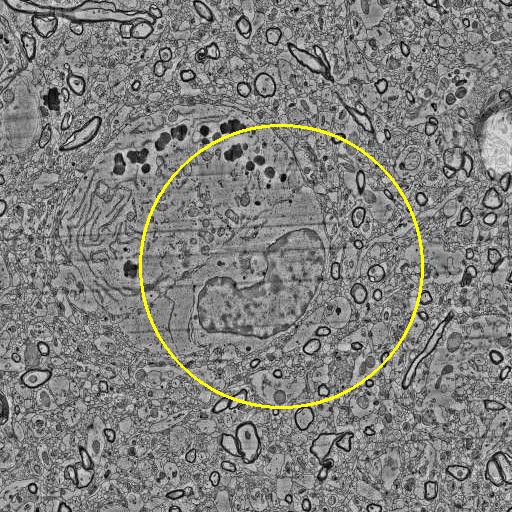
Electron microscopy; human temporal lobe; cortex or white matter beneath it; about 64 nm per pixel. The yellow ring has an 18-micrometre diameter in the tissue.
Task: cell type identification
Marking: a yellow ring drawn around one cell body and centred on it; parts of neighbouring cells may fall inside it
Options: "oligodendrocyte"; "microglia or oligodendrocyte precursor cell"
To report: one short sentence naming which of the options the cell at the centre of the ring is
The cell at the centre of the ring is a microglial cell or oligodendrocyte precursor cell.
